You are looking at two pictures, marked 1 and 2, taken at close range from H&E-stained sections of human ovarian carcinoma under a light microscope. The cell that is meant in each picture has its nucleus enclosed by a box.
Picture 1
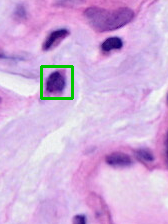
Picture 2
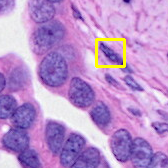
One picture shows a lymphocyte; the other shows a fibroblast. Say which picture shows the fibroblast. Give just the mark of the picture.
2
